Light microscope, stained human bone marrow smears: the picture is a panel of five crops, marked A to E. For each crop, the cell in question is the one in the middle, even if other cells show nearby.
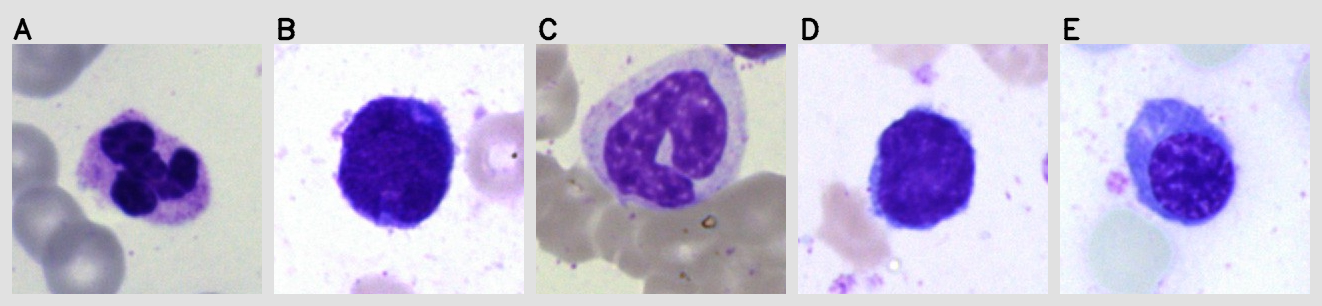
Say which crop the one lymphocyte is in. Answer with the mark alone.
D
